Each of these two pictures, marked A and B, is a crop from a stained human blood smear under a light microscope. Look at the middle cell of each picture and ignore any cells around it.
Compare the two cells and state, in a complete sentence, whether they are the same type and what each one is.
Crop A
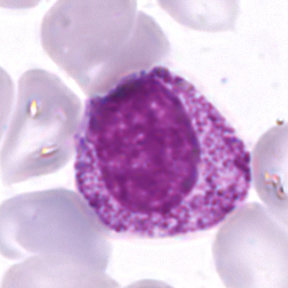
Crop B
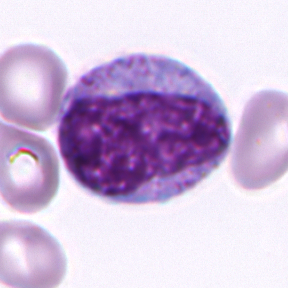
Yes, both crops show myelocytes, and the two match.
